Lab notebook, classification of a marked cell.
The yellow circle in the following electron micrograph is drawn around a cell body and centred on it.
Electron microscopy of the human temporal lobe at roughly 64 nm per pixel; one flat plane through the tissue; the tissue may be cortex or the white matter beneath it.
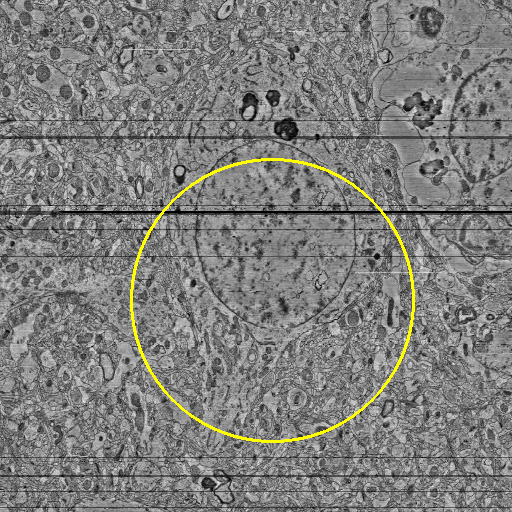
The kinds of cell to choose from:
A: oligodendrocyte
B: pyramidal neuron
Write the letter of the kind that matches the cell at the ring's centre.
B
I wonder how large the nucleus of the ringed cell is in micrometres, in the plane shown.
Approximately 13 x 10 micrometres in this plane.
